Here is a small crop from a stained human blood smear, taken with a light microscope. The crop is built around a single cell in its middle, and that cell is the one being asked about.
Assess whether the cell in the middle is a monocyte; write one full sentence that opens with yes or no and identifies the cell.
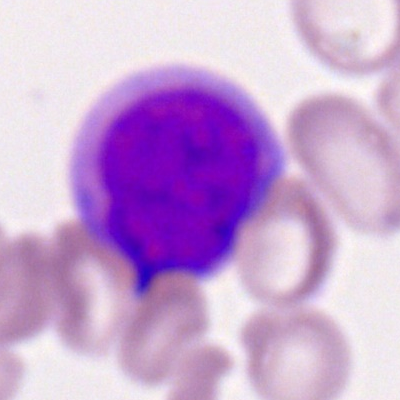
No, the cell sitting in the middle is a myeloblast, and it is not a monocyte.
